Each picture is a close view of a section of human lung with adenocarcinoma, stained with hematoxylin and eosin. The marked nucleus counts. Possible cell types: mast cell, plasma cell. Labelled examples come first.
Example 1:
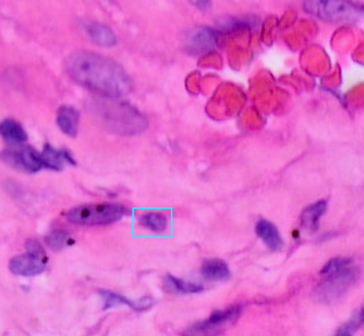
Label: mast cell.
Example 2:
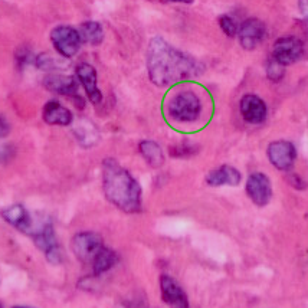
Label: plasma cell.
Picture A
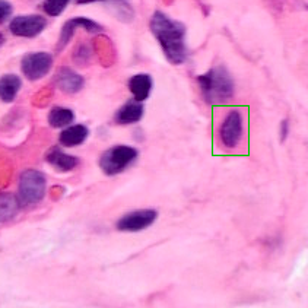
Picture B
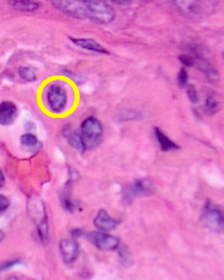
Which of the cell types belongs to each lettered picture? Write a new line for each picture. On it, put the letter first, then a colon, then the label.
A: mast cell.
B: mast cell.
